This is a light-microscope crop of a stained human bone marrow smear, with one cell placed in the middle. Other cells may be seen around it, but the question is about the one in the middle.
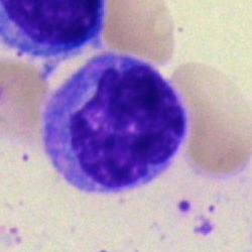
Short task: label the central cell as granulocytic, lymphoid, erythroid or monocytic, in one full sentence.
The cell at the center of the crop is assigned monocytic lineage.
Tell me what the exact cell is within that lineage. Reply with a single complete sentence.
The centrally placed cell is classified as a monocyte.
